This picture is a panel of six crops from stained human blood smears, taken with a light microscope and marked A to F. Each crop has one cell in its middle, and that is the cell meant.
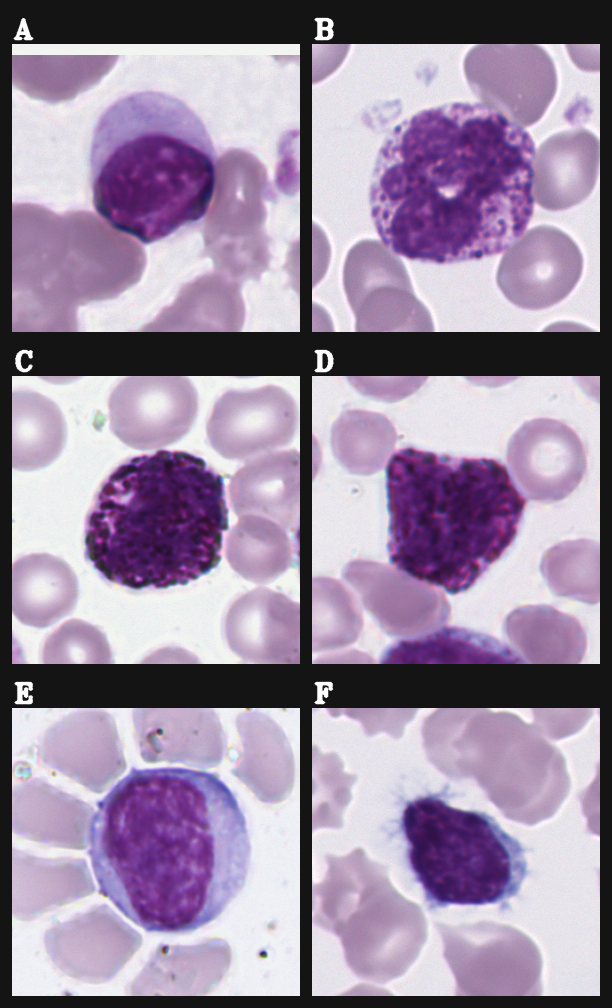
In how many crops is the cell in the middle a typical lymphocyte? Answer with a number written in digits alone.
0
